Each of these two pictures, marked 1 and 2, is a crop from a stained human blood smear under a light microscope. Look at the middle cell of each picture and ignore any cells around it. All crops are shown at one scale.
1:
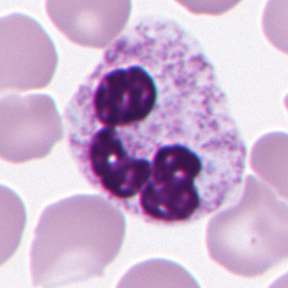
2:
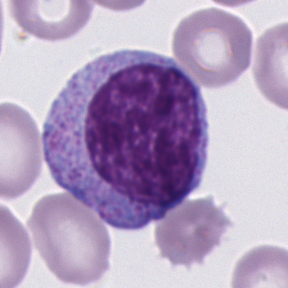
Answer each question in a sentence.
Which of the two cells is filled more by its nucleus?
Of the two, the nucleus in picture 2 makes up the greater part of its cell.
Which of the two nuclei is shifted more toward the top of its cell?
It is the nucleus in picture 2 that lies further toward the top of its cell.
